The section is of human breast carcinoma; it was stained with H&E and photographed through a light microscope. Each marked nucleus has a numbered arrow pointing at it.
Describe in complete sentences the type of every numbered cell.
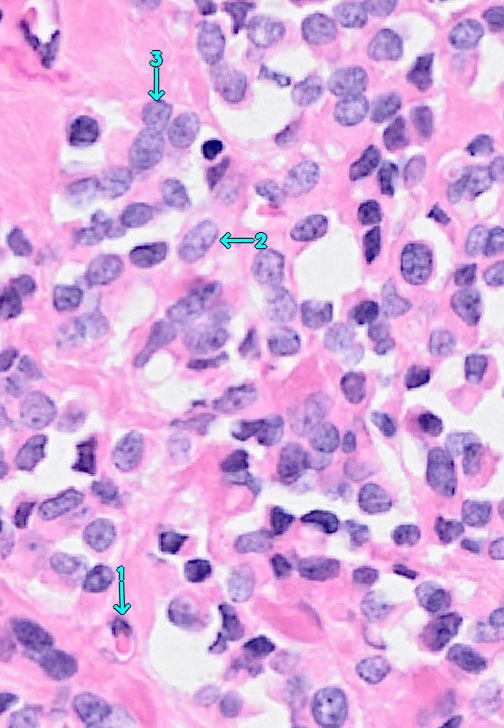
Cell 1 is an endothelial cell, cell 2 is a carcinoma cell and cell 3 is a carcinoma cell.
